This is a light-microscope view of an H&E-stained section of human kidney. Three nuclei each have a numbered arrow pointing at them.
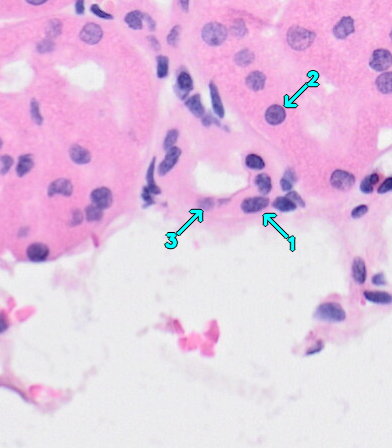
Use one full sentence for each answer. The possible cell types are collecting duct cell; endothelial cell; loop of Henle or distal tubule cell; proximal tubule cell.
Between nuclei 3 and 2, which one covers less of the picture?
Nucleus 3 is the smaller one; nucleus 2 covers about 2 times its area.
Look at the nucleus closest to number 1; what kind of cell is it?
The nearest nucleus to number 1 belongs to a collecting duct cell.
